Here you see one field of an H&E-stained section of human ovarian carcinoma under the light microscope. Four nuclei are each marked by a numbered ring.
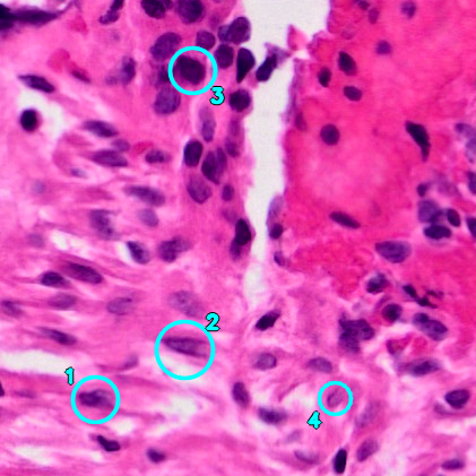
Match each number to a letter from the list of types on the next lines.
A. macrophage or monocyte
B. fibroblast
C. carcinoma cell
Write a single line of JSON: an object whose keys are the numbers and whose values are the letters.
{"1": "B", "2": "B", "3": "C", "4": "B"}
